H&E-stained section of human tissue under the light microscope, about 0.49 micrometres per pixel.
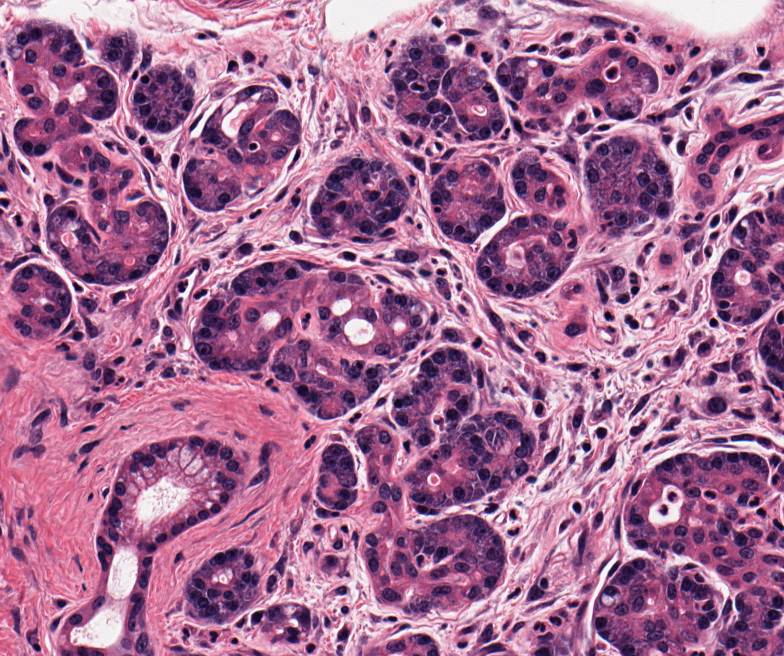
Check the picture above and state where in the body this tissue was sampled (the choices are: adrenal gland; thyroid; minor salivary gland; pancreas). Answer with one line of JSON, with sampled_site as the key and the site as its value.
{"sampled_site": "pancreas"}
